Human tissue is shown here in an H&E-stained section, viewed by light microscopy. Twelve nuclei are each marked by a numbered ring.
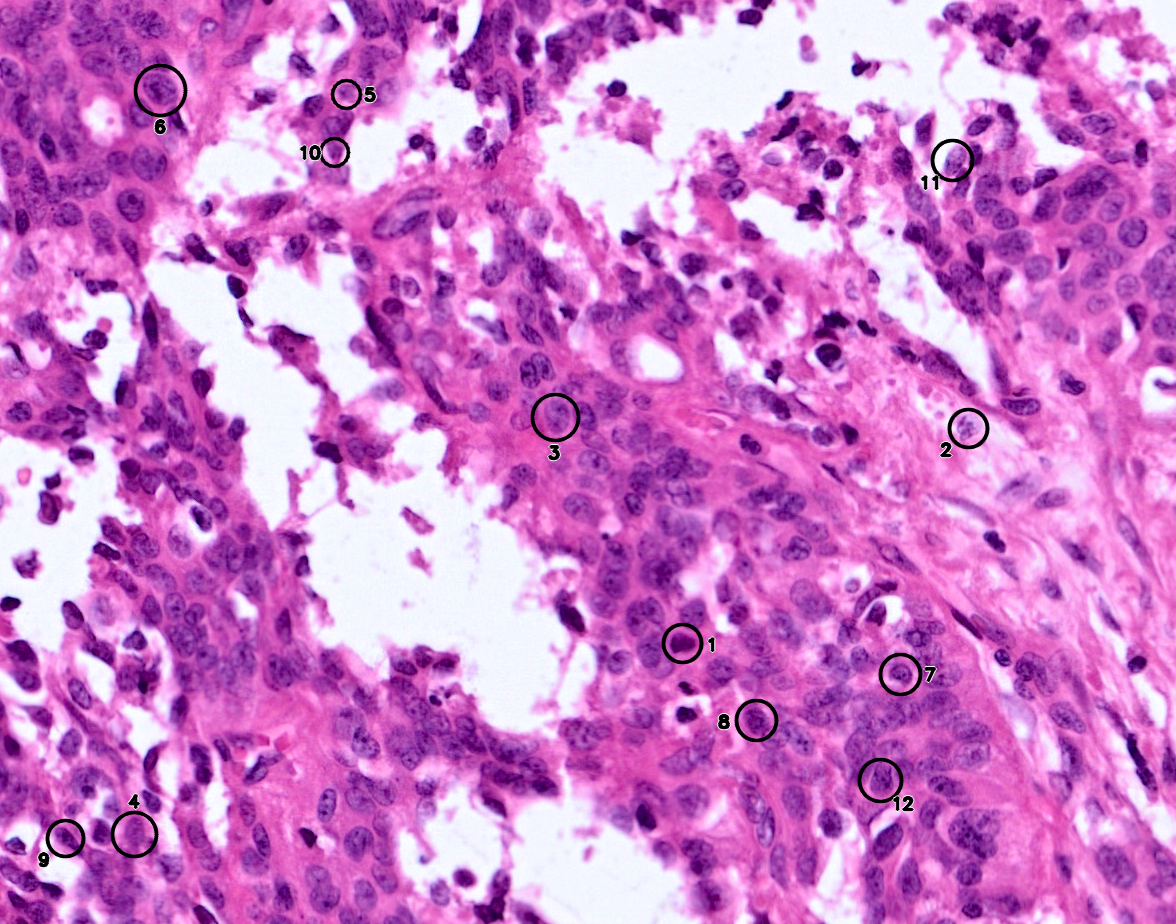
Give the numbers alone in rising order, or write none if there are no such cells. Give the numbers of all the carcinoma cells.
1, 3, 4, 6, 8, 10, 11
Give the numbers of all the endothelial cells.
none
